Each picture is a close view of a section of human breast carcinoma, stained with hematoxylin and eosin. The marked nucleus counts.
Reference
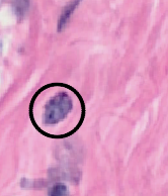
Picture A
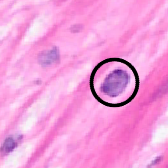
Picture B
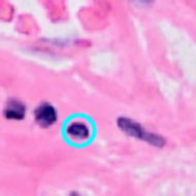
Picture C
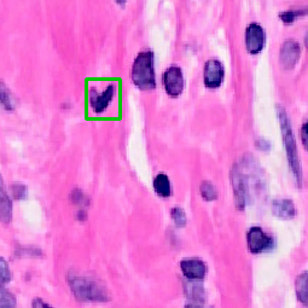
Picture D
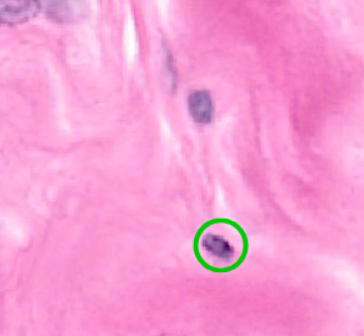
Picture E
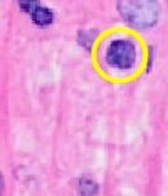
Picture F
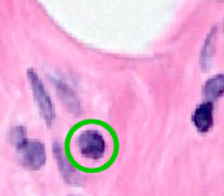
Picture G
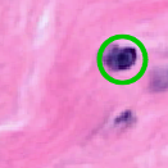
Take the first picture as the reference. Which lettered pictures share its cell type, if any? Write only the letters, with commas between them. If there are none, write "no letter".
A, B, C, D, E, F, G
